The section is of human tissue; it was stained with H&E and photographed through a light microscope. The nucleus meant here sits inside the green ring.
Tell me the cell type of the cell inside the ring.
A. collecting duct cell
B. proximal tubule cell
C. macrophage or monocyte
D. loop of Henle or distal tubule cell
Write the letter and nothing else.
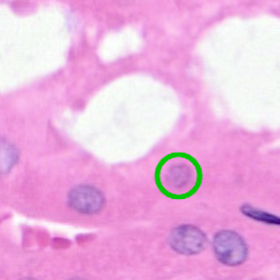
B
